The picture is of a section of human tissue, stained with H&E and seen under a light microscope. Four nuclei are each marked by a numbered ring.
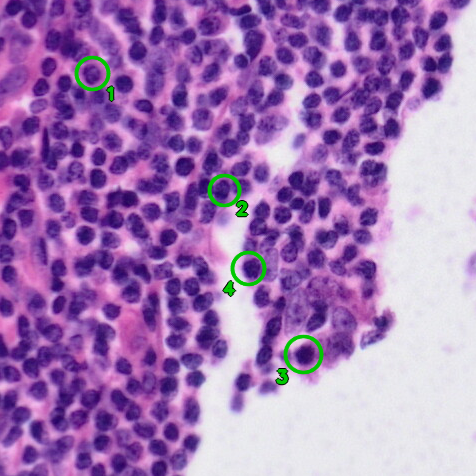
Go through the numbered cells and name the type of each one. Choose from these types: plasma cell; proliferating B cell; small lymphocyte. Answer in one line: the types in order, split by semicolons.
plasma cell; small lymphocyte; proliferating B cell; small lymphocyte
